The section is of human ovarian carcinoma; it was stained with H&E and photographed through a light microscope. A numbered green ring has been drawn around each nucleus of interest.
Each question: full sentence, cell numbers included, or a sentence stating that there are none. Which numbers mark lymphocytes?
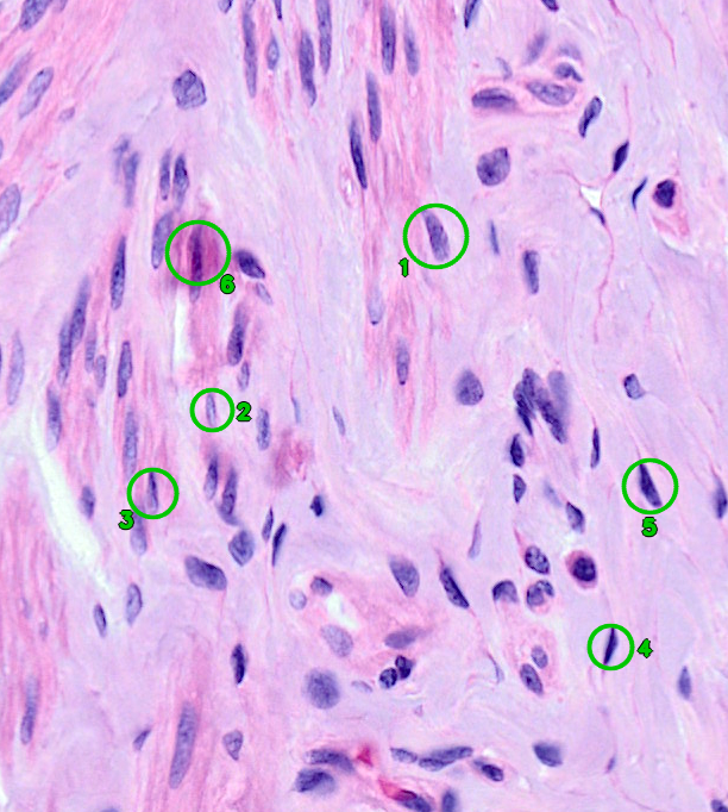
Among the marked and numbered cells, lymphocytes do not occur.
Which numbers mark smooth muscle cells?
The cells carrying labels 1, 2, 3 and 6 are smooth muscle cells.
